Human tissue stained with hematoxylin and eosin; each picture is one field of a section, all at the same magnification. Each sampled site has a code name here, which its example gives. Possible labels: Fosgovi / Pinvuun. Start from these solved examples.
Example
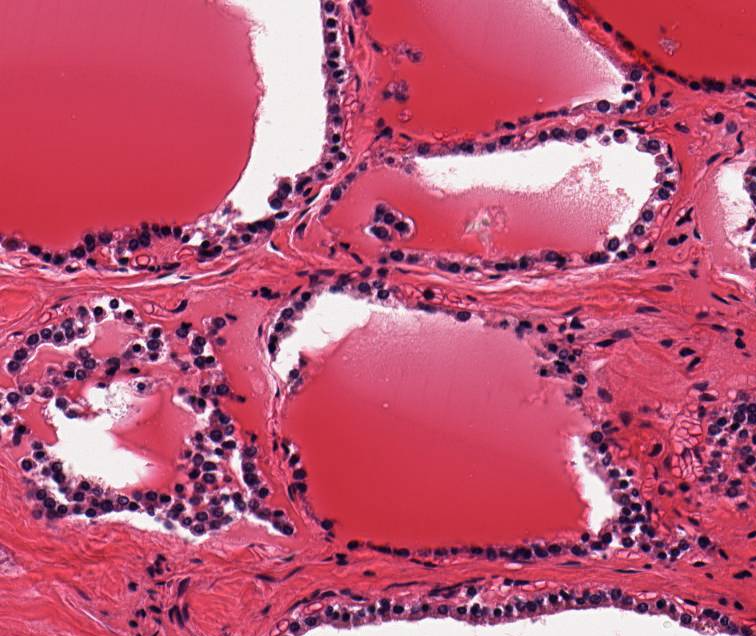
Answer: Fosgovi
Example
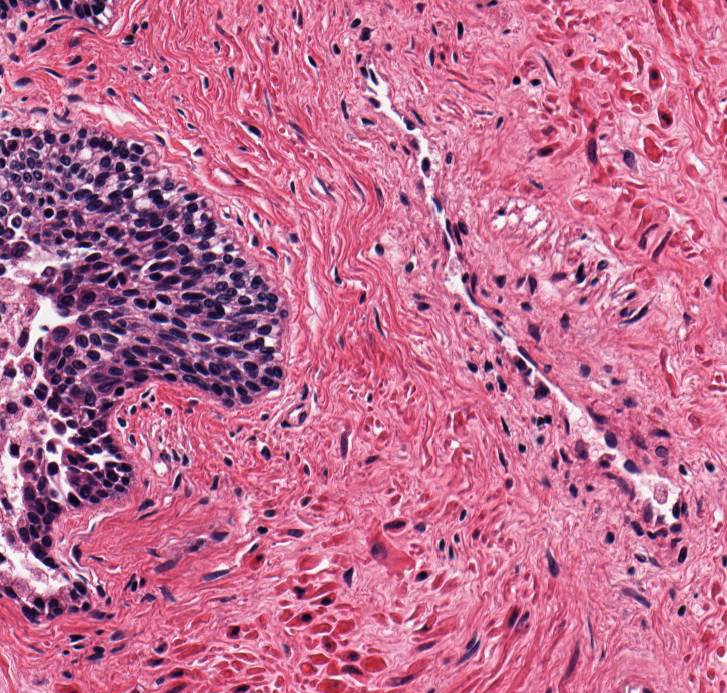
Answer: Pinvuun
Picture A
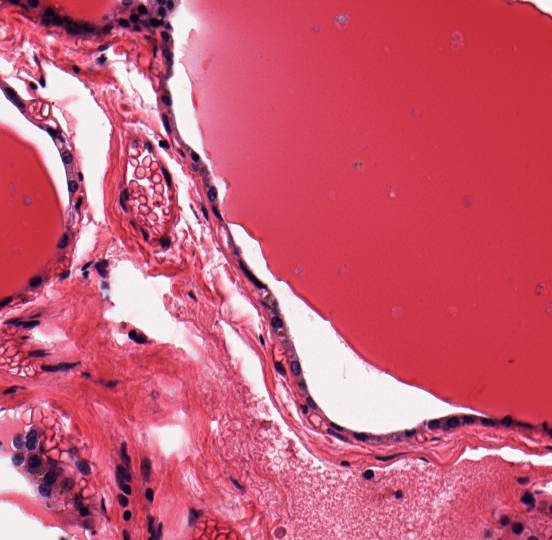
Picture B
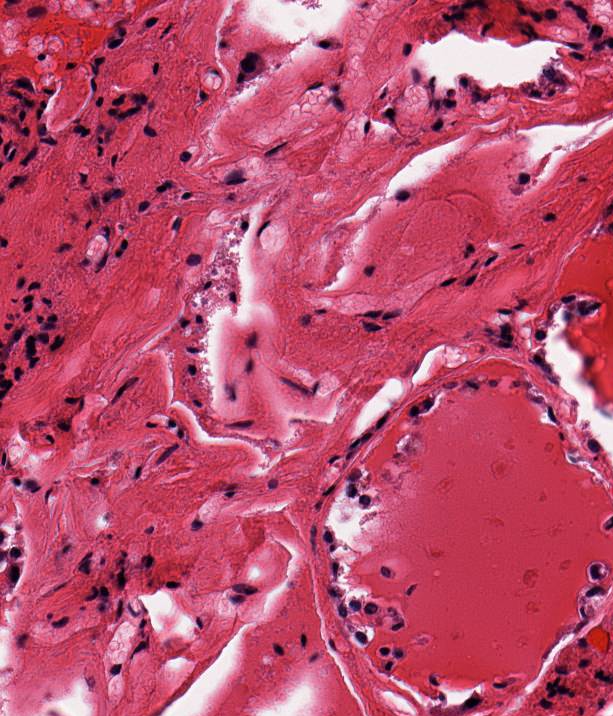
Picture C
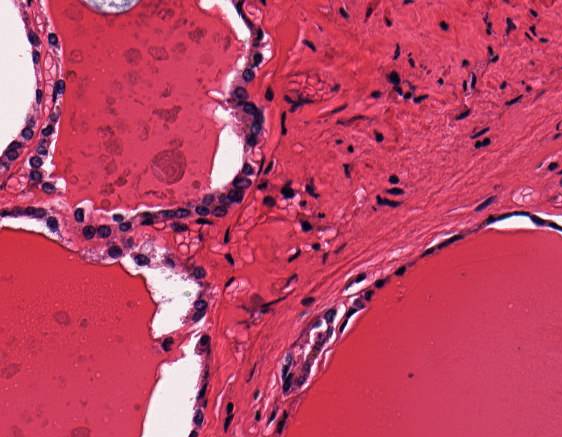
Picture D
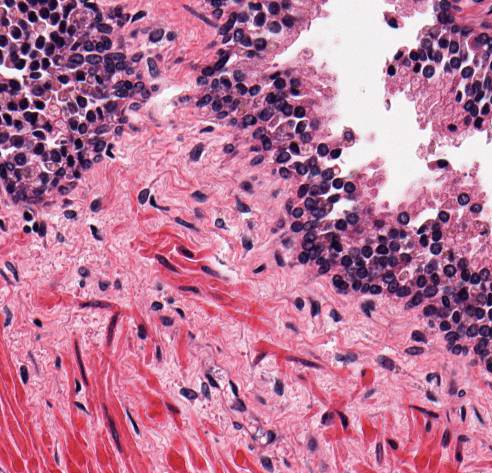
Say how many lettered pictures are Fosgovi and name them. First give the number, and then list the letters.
Count: 3 (A, B, C)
